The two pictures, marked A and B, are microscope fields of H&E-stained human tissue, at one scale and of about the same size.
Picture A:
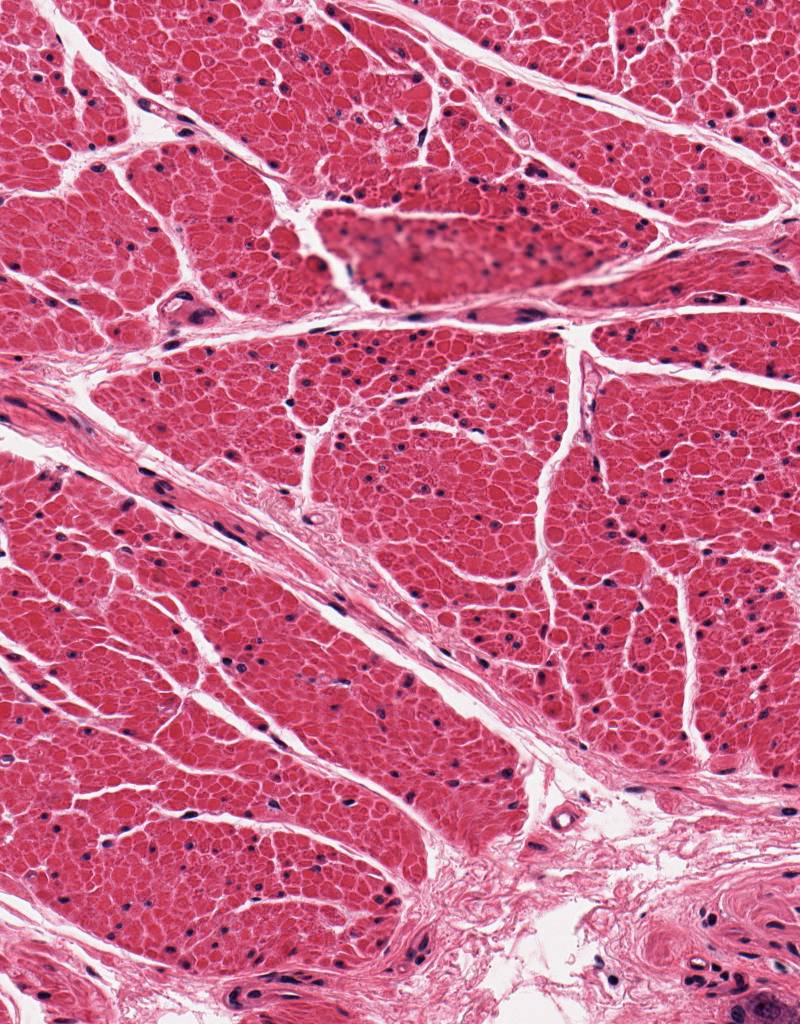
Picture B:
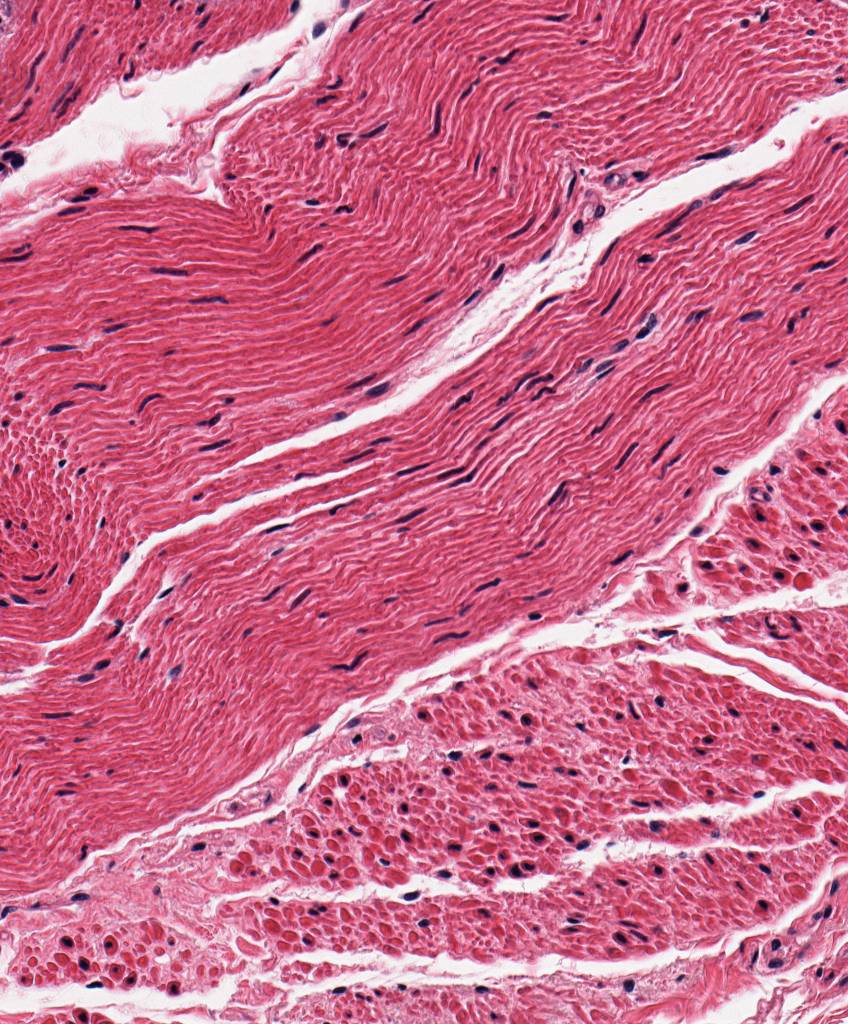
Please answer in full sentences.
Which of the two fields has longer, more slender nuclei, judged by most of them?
The nuclei are more elongated in picture B.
